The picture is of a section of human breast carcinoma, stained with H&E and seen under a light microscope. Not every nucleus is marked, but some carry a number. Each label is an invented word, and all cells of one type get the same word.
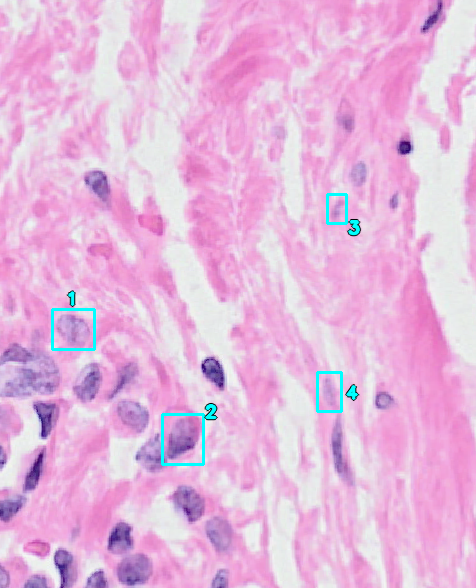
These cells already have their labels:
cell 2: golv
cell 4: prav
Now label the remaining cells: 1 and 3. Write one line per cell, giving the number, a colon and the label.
1: golv
3: prav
